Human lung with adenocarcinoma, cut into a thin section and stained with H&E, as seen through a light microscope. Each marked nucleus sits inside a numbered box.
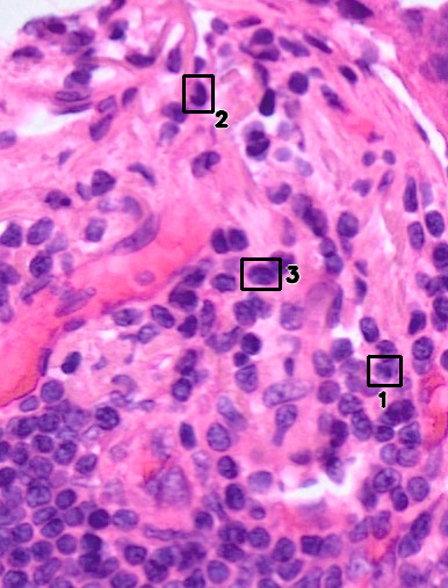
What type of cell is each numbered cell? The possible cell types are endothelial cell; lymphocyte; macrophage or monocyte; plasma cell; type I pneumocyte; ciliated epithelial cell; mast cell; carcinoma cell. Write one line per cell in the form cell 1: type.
cell 1: lymphocyte
cell 2: plasma cell
cell 3: lymphocyte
